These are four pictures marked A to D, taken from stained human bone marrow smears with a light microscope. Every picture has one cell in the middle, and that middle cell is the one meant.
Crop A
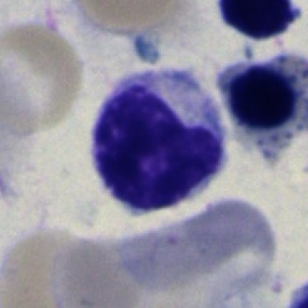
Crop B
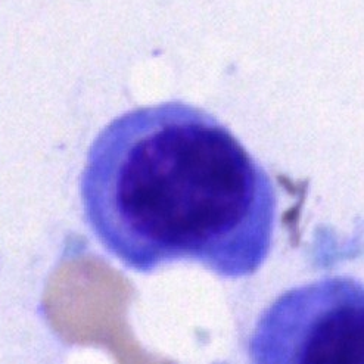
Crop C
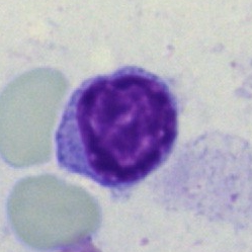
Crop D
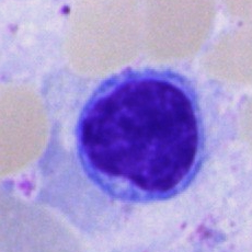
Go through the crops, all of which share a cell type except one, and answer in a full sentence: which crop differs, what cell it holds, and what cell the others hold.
Crop B is a normoblast, and the other crops all show lymphocytes.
